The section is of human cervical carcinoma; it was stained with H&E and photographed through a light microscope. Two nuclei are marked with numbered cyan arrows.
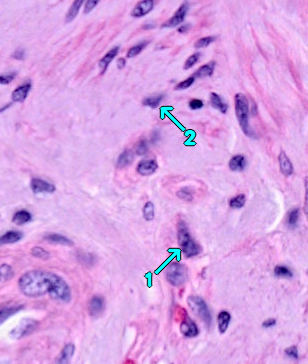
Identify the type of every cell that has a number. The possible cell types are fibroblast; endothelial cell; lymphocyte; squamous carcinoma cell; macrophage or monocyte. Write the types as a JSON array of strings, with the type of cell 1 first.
["endothelial cell", "fibroblast"]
